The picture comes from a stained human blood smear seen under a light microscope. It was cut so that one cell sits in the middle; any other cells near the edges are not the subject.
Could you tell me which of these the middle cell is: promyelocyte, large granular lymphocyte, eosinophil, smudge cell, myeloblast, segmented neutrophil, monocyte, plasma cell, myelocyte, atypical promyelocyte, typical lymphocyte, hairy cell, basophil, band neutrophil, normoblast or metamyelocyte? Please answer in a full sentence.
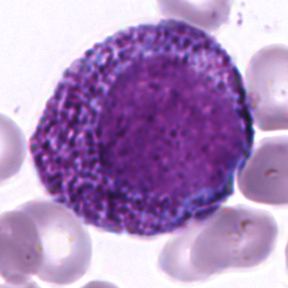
In this crop, the cell at the very middle is a promyelocyte.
